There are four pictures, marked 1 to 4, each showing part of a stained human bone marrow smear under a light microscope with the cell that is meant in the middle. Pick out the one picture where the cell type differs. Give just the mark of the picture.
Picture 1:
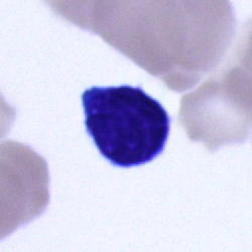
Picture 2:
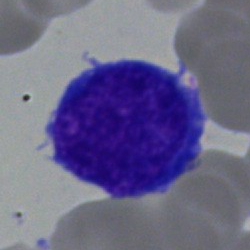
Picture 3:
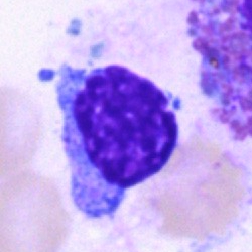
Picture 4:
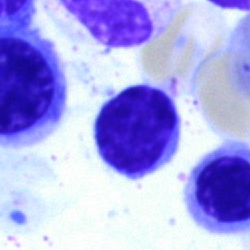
2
